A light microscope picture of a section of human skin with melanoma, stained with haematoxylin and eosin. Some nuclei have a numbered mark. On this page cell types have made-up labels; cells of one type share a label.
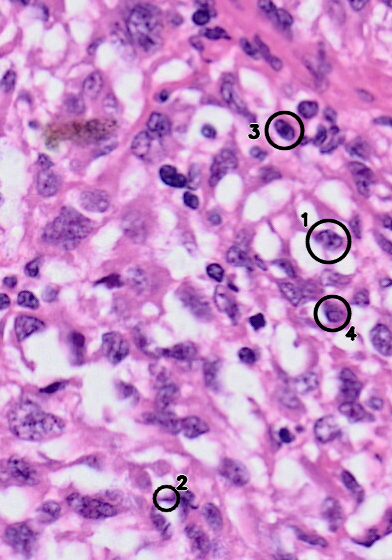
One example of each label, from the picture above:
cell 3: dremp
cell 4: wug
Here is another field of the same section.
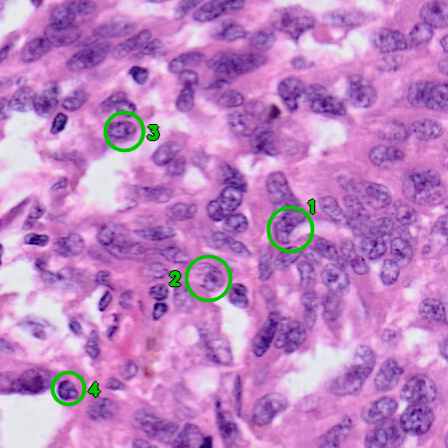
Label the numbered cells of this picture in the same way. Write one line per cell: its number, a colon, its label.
1: wug
2: wug
3: wug
4: dremp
